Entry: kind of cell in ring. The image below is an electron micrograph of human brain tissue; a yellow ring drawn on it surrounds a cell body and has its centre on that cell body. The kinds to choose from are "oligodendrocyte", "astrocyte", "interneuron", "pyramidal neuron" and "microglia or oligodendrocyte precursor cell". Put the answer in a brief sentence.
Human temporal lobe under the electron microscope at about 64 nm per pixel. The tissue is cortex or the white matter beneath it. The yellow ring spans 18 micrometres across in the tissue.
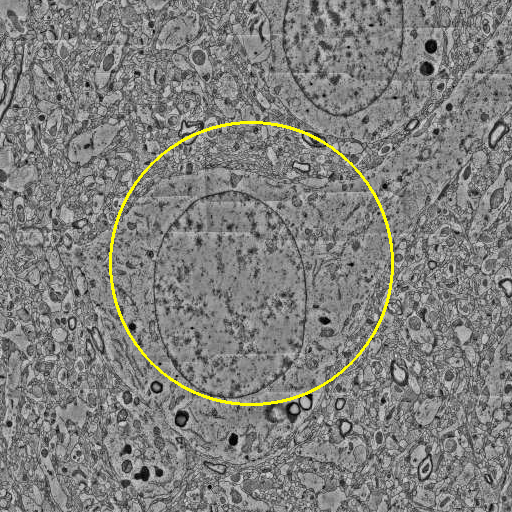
The ring has been drawn around a pyramidal neuron.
